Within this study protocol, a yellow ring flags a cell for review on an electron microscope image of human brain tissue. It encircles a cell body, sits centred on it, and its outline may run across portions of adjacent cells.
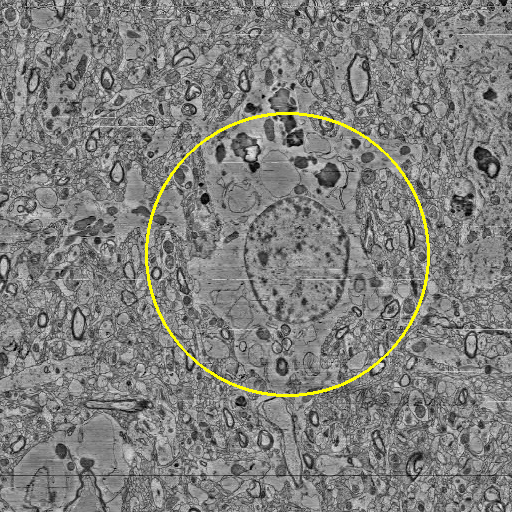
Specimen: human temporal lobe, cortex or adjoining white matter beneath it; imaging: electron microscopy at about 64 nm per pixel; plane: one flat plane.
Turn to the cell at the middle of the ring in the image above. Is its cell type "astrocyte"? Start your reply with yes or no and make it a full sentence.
Yes, the cell at the ring's centre in the image above has that cell type.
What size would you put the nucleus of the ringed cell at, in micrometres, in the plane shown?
Approximately 8 x 7 micrometres in this plane.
